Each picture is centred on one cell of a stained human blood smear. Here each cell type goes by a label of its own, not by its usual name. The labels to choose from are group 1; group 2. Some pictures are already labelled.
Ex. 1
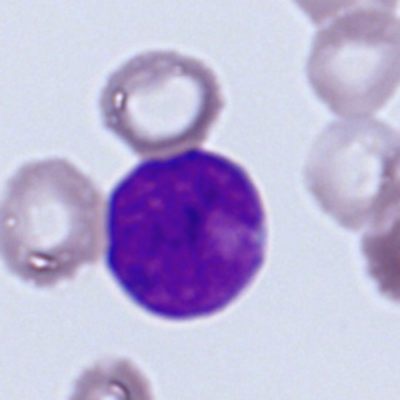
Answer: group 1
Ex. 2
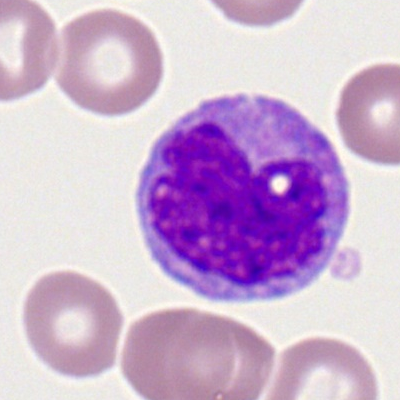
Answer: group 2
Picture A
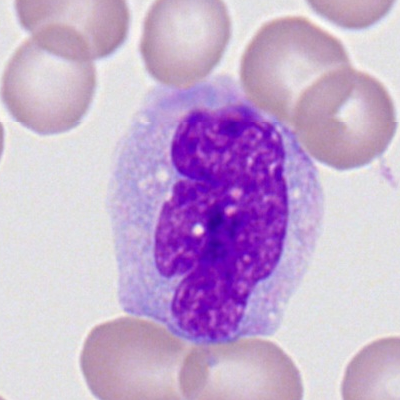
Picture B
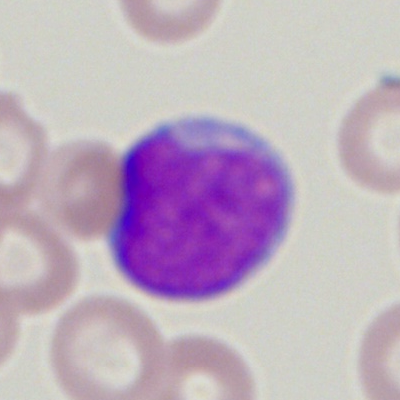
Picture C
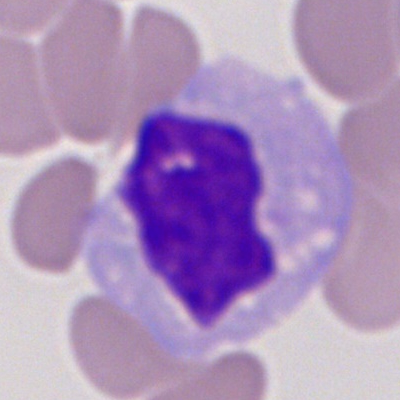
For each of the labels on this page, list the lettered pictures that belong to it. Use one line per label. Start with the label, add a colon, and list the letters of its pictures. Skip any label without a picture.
group 1: B
group 2: A, C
